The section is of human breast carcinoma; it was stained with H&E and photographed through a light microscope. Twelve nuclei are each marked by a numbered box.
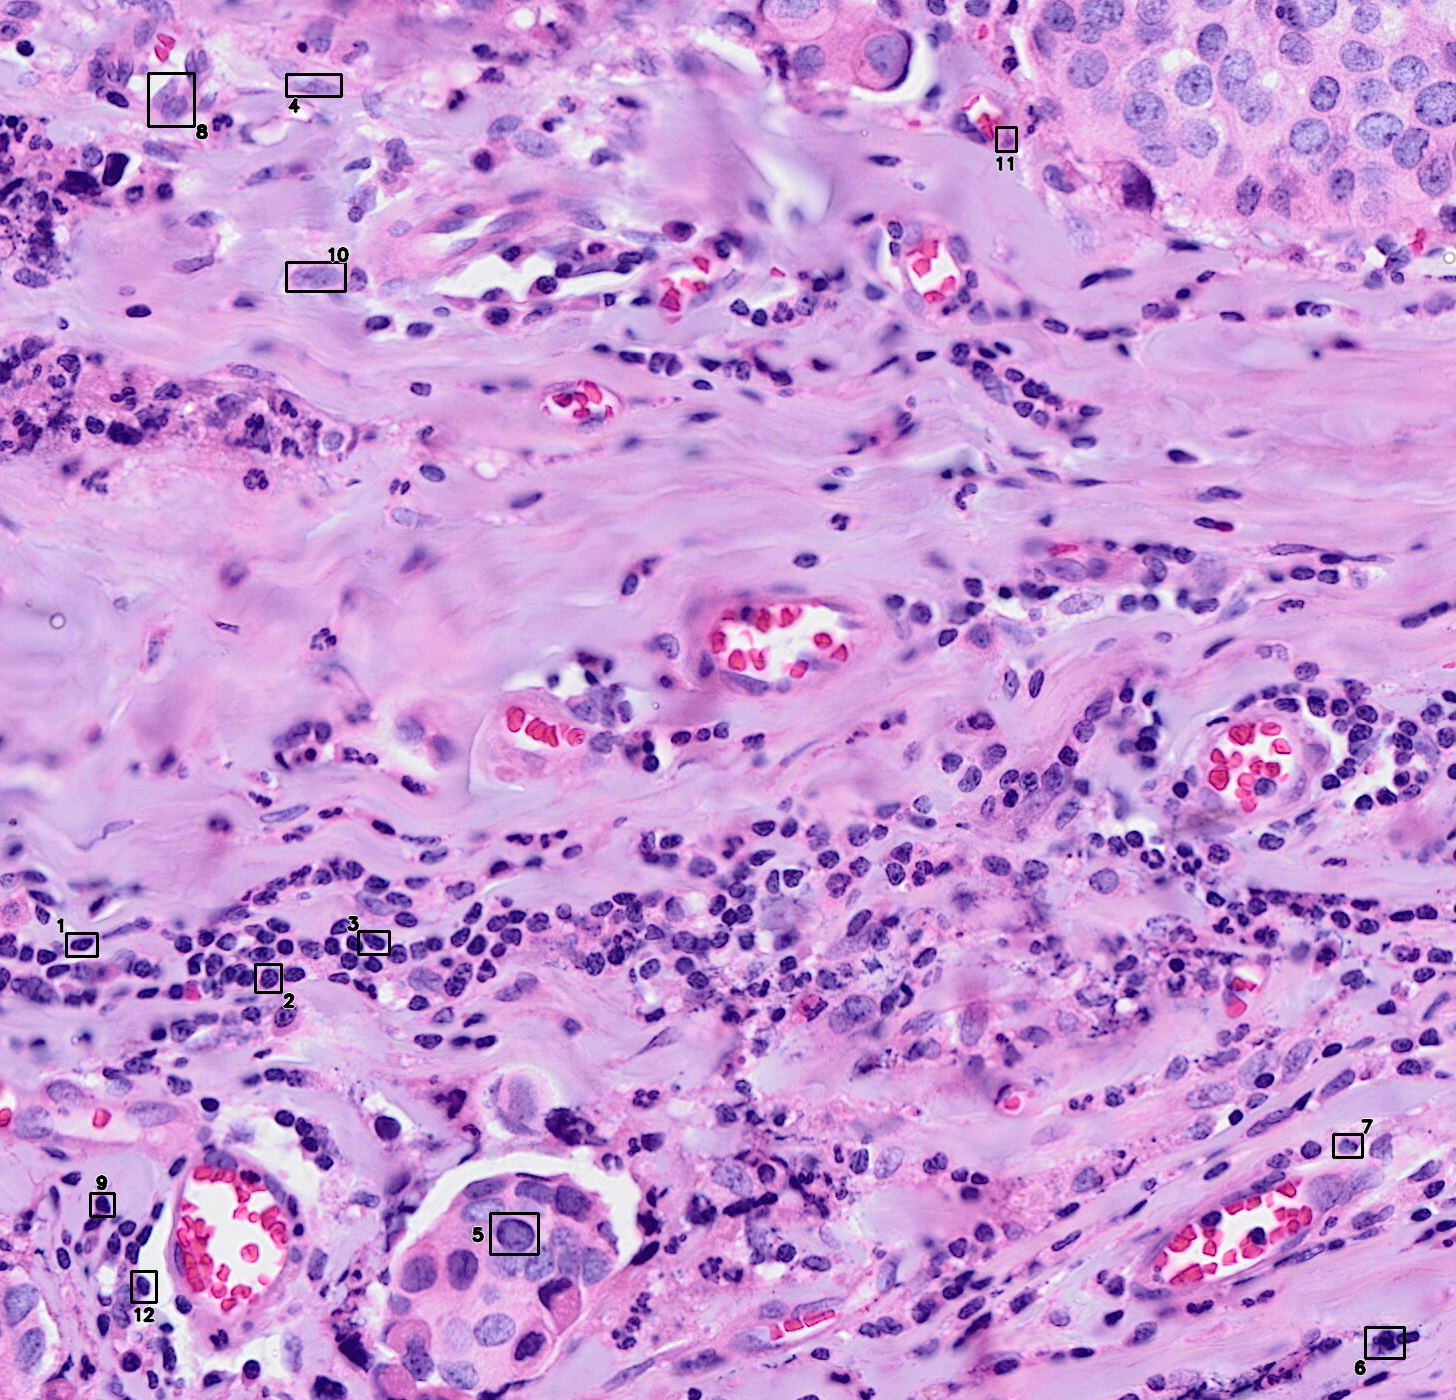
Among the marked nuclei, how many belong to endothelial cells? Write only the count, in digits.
2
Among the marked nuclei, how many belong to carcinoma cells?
1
